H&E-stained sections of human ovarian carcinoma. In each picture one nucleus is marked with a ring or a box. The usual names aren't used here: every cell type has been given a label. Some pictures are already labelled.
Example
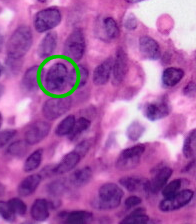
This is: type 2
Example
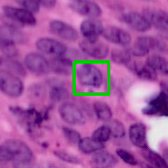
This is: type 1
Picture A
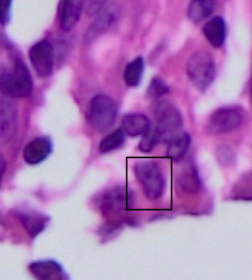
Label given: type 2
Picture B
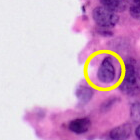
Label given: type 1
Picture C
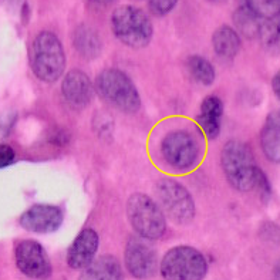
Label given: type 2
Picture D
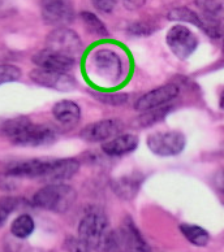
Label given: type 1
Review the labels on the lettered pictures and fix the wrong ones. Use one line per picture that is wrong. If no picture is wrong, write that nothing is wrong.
No label is wrong.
